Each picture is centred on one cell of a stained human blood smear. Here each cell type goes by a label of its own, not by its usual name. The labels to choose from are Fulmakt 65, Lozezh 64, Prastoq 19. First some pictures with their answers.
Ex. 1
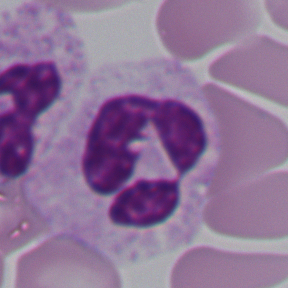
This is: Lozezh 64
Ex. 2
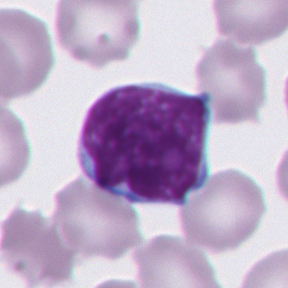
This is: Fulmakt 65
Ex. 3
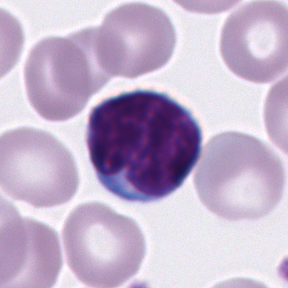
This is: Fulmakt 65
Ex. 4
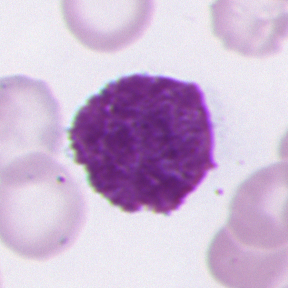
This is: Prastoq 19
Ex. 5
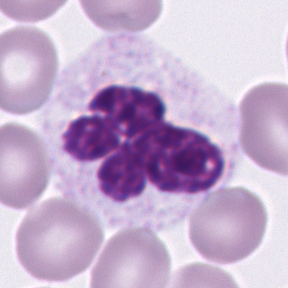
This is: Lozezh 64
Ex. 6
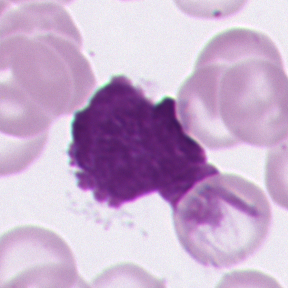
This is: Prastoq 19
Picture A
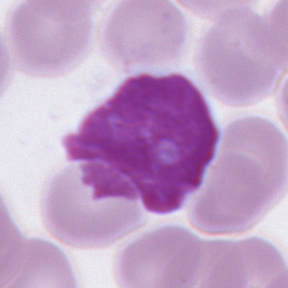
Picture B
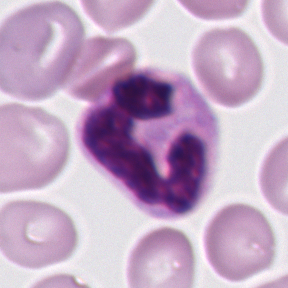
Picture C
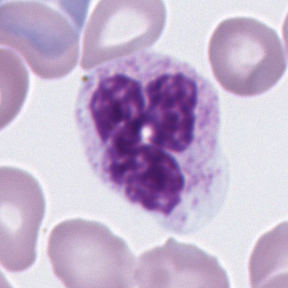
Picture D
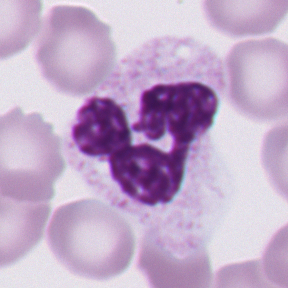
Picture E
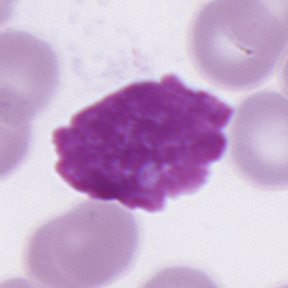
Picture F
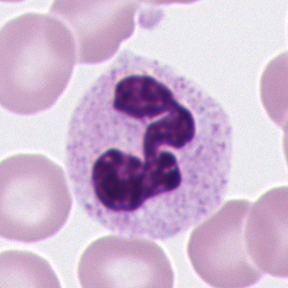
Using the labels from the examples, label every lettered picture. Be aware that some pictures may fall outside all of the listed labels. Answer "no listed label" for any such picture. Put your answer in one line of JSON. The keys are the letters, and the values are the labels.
{"A": "Prastoq 19", "B": "Lozezh 64", "C": "Lozezh 64", "D": "Lozezh 64", "E": "Prastoq 19", "F": "Lozezh 64"}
